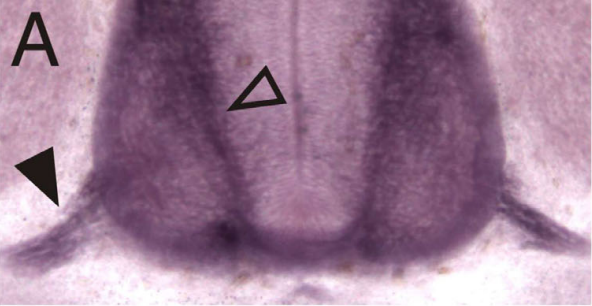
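This transverse section of the spinal cord shows purple staining concentrated in axon tracts. Dark bands run from the dorsal cord toward the ventral midline on each side of the central canal, where commissural axons cross. At the ventrolateral edges, darkly stained bundles of motor axons leave the cord as ventral roots. The grey matter in between is stained more weakly.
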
